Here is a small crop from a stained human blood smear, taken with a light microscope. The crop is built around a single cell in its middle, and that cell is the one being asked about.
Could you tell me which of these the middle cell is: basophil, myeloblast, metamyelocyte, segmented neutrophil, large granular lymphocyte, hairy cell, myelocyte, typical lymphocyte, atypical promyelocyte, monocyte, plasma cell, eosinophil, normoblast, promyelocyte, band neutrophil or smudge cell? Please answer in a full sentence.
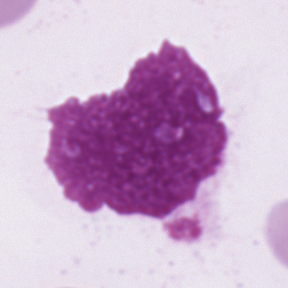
As for the central cell, it is a smudge cell.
